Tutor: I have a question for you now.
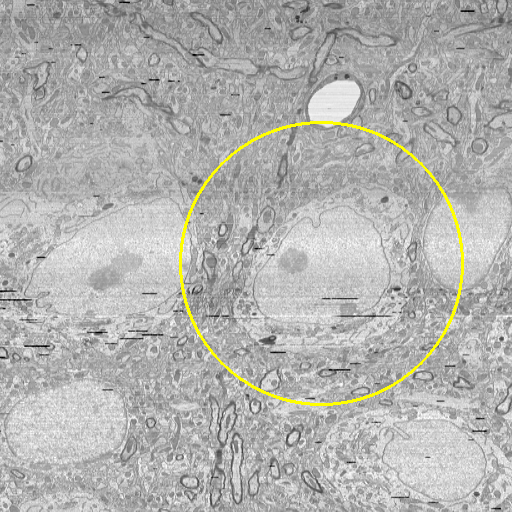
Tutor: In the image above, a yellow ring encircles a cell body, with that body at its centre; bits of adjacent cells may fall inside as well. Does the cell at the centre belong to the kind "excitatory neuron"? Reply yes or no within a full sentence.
Yes, the cell at the centre of the yellow ring in the picture is of that kind.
